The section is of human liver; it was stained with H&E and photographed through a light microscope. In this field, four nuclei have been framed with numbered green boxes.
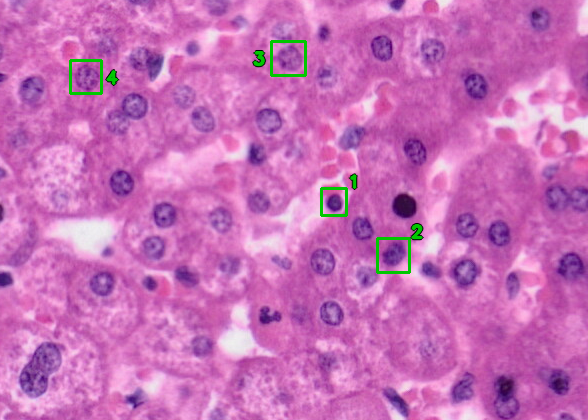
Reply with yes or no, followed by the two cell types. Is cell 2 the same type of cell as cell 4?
No, cell 2 is a fibroblast or stellate cell and cell 4 is a hepatocyte.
